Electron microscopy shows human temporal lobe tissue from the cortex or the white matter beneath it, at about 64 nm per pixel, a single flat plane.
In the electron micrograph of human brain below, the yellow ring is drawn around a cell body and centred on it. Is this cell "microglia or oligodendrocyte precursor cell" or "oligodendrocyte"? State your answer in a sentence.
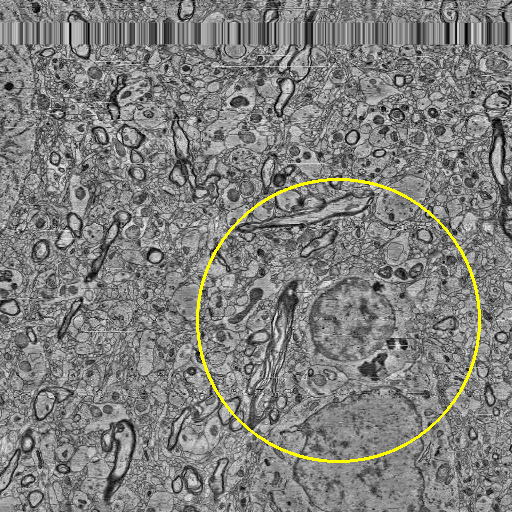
The cell in the middle of the ring is an oligodendrocyte.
